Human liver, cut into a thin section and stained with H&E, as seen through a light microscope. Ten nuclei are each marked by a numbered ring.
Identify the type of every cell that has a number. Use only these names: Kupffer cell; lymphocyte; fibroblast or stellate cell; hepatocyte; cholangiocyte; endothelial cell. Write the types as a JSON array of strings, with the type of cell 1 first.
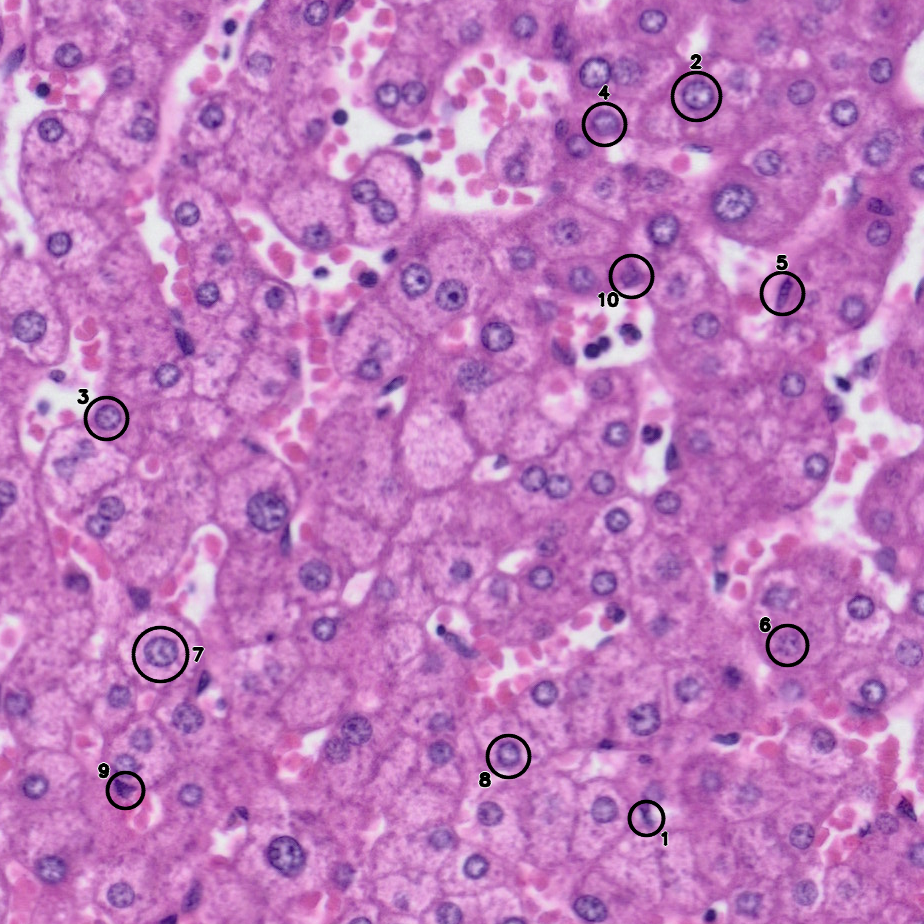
["endothelial cell", "hepatocyte", "hepatocyte", "hepatocyte", "fibroblast or stellate cell", "hepatocyte", "hepatocyte", "hepatocyte", "fibroblast or stellate cell", "endothelial cell"]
